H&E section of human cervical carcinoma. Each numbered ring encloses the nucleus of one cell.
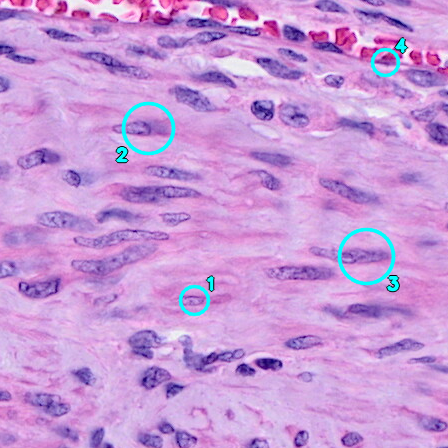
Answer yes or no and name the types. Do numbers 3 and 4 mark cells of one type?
No, cell 3 is a smooth muscle cell, whereas an endothelial cell is what cell 4 is.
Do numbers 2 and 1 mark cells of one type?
Yes, cells 2 and 1 are alike in being smooth muscle cells.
